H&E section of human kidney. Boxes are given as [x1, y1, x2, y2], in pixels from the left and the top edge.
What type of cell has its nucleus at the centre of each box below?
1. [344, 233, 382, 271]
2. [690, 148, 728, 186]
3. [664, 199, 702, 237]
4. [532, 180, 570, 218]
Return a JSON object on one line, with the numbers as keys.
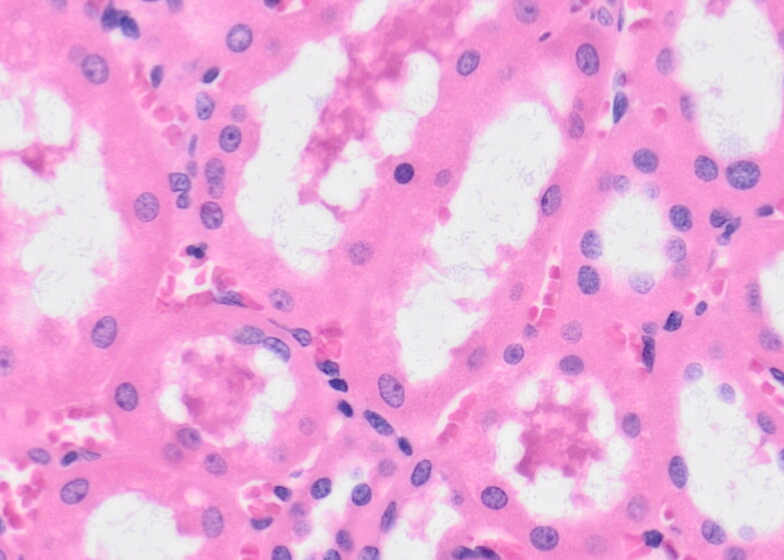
{"1": "proximal tubule cell", "2": "loop of Henle or distal tubule cell", "3": "loop of Henle or distal tubule cell", "4": "proximal tubule cell"}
